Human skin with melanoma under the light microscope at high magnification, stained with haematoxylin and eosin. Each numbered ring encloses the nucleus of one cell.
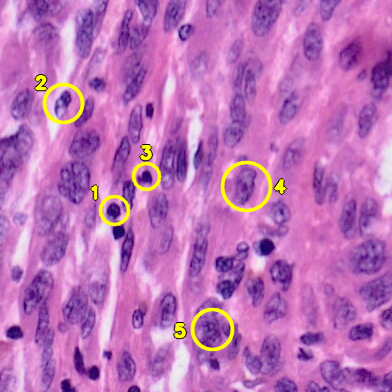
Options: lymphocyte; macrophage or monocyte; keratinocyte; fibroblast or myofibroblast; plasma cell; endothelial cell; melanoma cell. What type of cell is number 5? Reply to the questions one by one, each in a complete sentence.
The nucleus marked 5 is the nucleus of a melanoma cell.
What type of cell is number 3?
Numbered cell 3 is a lymphocyte in this tissue section.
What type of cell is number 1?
The marked cell bearing number 1 is a lymphocyte.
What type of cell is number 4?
The one numbered 4 among the marked cells is a melanoma cell.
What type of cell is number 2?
Cell 2 is classified as a lymphocyte.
